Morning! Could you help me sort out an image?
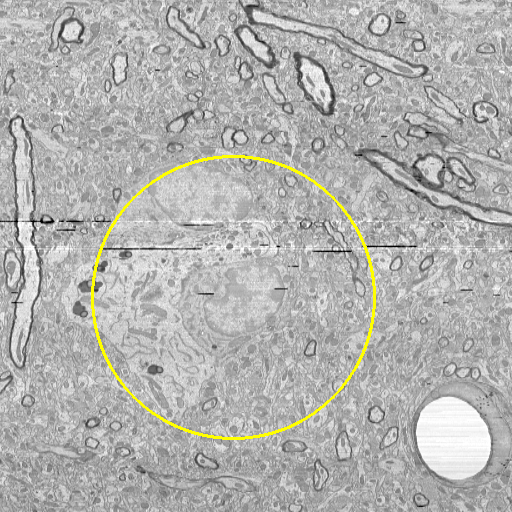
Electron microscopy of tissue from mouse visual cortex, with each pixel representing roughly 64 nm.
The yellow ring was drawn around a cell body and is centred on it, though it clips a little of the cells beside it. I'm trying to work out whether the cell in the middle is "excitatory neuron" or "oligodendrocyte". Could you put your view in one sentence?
The ringed cell body is that of an oligodendrocyte.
